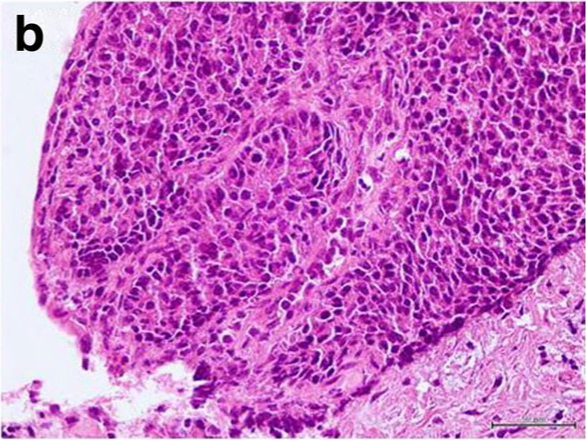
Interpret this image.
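A dense mass of small tumor cells with scant cytoplasm and round-to-oval dark nuclei fills most of the field. The cells are tightly packed in sheets, with some streaming arrangement in the center. At the lower right the tumor borders pale pink, loosely fibrous stroma, and the tumor edge at the lower border is lined by crowded, darkly stained nuclei. The upper left edge of the tissue faces an empty space.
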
